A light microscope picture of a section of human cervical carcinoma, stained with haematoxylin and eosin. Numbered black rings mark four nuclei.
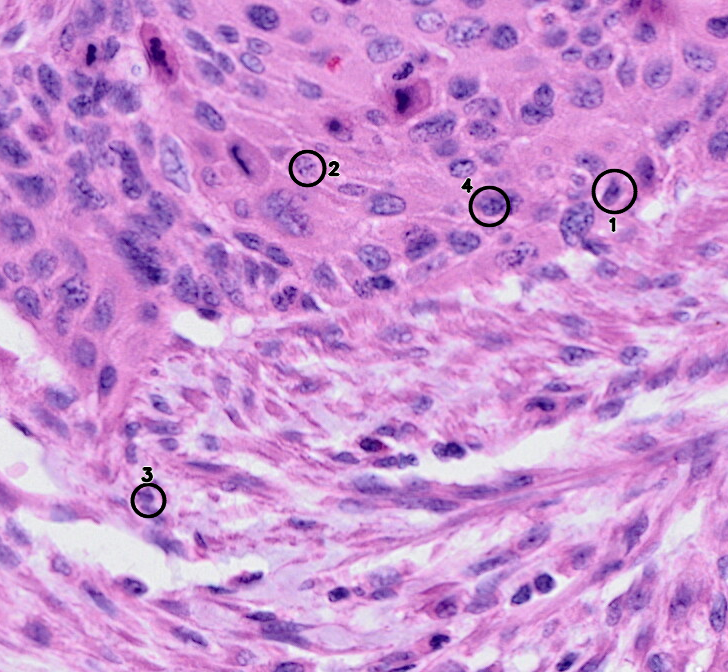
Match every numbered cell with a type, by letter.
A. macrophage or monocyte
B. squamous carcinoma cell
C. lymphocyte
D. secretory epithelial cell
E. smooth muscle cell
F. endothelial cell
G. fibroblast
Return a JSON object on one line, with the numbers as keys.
{"1": "B", "2": "B", "3": "G", "4": "B"}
